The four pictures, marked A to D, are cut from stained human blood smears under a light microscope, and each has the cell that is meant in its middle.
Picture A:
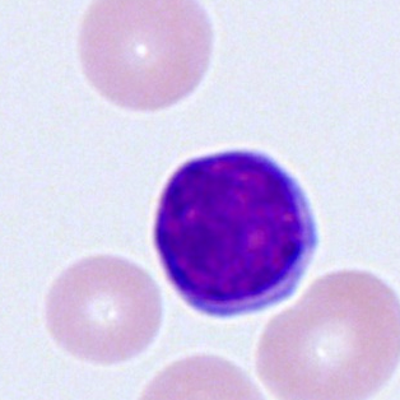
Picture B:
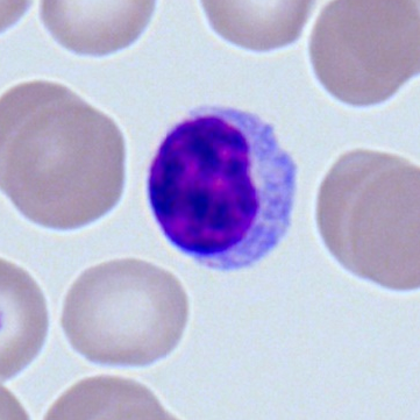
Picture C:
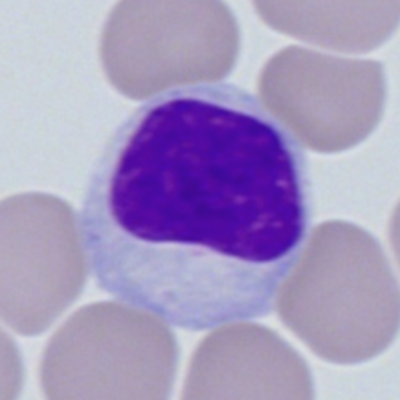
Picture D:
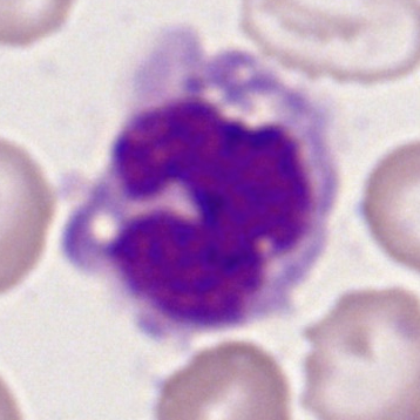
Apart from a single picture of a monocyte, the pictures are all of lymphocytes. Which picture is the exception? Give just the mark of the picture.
D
